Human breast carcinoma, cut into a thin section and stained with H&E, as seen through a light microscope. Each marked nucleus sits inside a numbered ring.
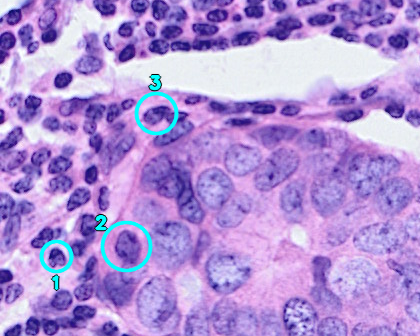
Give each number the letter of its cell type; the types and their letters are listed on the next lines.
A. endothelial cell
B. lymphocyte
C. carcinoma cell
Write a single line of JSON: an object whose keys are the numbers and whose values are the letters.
{"1": "B", "2": "C", "3": "B"}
